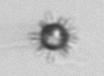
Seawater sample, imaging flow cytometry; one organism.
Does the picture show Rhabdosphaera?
Yes.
